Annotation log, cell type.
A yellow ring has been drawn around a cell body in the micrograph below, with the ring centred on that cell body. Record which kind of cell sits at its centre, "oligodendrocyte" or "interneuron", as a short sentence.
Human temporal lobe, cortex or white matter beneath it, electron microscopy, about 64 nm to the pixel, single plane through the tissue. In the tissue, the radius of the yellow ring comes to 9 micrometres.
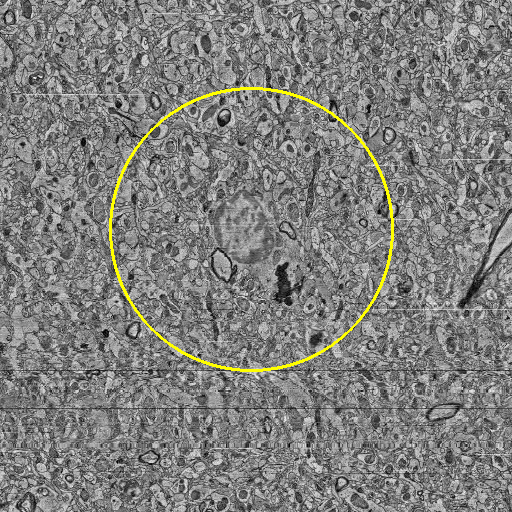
The cell at the centre of this ring is an oligodendrocyte.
